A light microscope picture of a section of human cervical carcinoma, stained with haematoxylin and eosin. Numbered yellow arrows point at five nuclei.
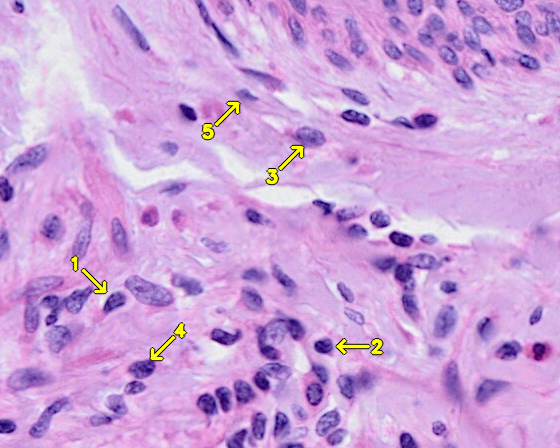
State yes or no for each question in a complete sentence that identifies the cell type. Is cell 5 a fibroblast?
Yes, number 5 is assigned to a cell that is a fibroblast.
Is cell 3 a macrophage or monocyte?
Yes, looking at number 3, that cell is a macrophage or monocyte.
